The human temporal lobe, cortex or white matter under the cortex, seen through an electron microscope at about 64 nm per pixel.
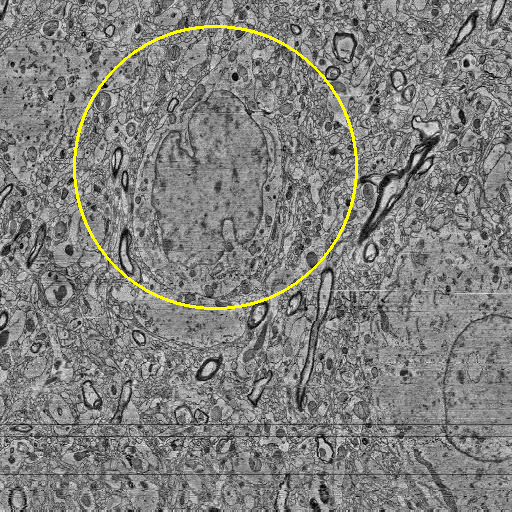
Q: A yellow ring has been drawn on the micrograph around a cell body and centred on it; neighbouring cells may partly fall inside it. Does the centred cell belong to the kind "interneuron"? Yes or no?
Yes, it belongs to that kind.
